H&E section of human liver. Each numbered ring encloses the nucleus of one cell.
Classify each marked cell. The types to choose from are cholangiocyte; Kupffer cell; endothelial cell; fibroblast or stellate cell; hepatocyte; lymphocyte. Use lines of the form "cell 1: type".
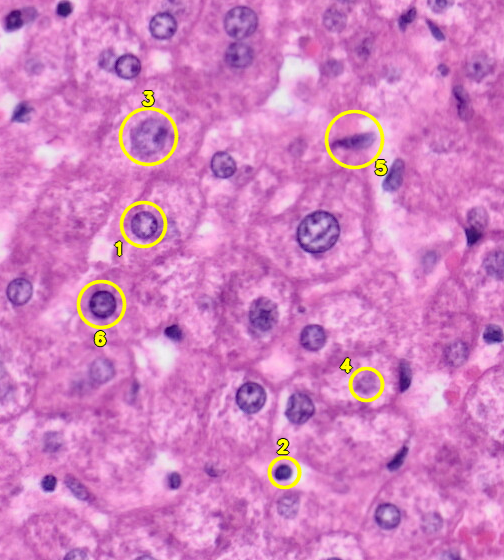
cell 1: hepatocyte
cell 2: lymphocyte
cell 3: hepatocyte
cell 4: hepatocyte
cell 5: Kupffer cell
cell 6: hepatocyte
